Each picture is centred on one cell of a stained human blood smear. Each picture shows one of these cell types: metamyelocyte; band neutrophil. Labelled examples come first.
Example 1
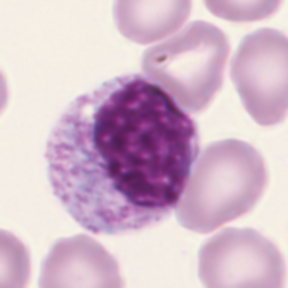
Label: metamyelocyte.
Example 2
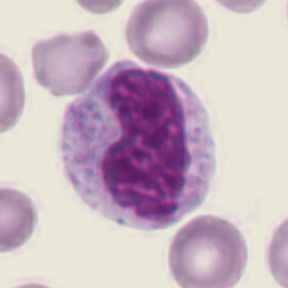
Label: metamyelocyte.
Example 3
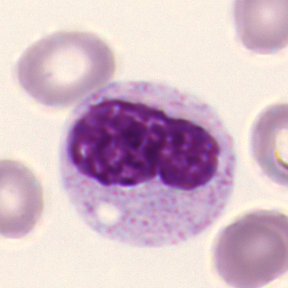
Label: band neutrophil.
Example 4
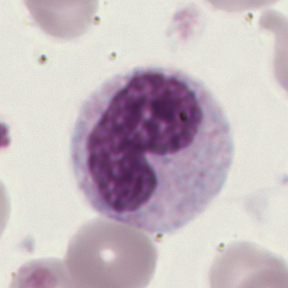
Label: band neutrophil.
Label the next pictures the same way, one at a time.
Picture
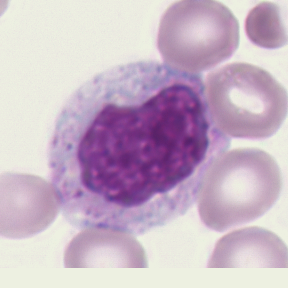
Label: metamyelocyte.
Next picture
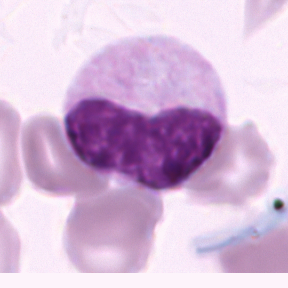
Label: metamyelocyte.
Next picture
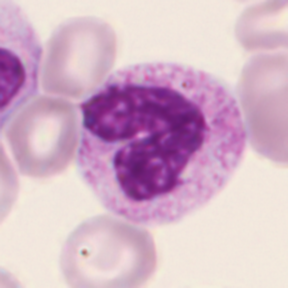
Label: band neutrophil.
